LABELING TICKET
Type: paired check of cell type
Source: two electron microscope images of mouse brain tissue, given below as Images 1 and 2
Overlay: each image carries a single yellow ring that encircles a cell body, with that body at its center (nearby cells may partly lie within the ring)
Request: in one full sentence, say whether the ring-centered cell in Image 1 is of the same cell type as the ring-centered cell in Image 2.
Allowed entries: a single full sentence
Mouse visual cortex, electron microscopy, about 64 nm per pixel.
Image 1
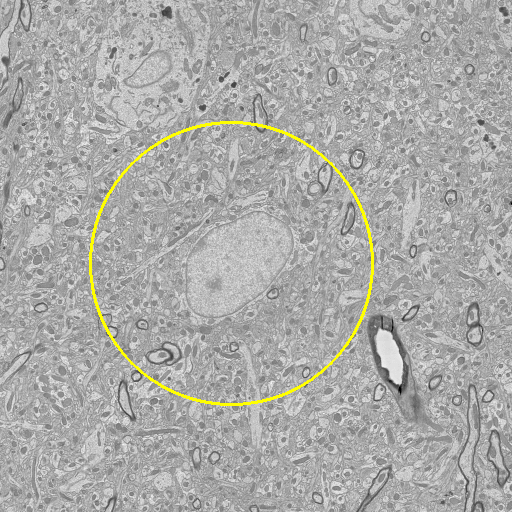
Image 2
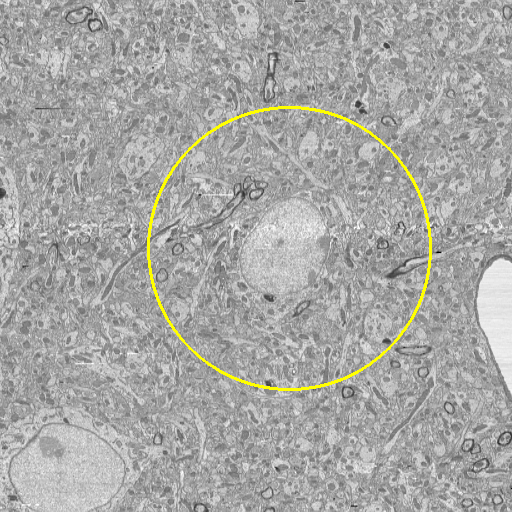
Yes, the cells centered in the rings of Image 1 and Image 2 share one type.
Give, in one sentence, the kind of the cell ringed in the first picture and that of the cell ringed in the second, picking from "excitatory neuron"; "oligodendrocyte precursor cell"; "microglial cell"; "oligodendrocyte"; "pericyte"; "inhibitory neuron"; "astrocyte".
Both rings mark an astrocyte, one in each picture.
